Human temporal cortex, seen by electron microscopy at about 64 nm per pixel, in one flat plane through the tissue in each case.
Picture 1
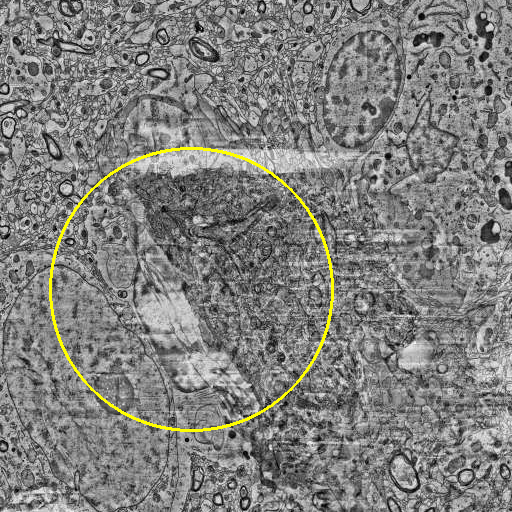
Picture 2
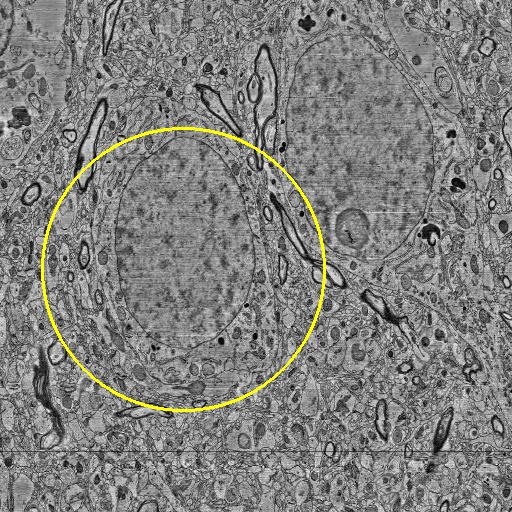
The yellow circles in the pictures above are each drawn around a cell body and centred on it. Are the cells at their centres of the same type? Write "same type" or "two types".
two types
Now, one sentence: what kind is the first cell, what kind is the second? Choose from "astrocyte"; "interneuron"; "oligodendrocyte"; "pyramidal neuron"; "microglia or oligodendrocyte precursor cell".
The first picture has an astrocyte at its ring centre, and the second has a pyramidal neuron.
